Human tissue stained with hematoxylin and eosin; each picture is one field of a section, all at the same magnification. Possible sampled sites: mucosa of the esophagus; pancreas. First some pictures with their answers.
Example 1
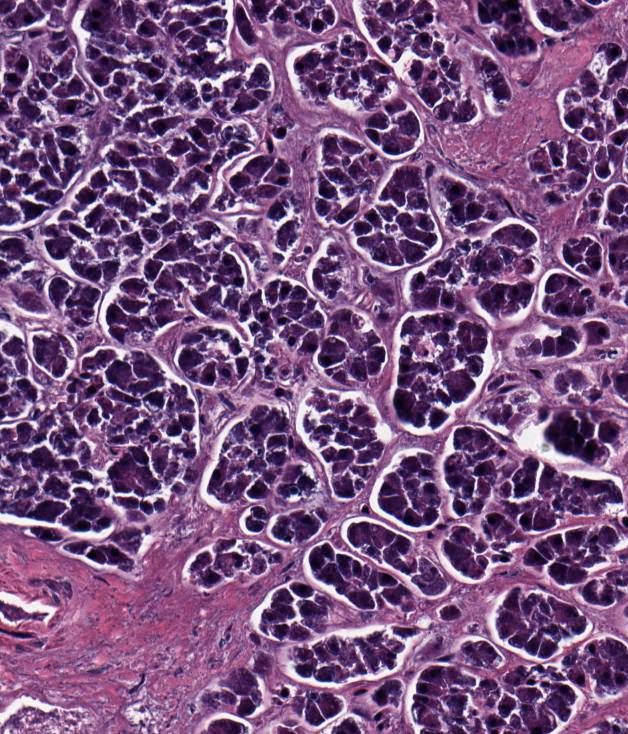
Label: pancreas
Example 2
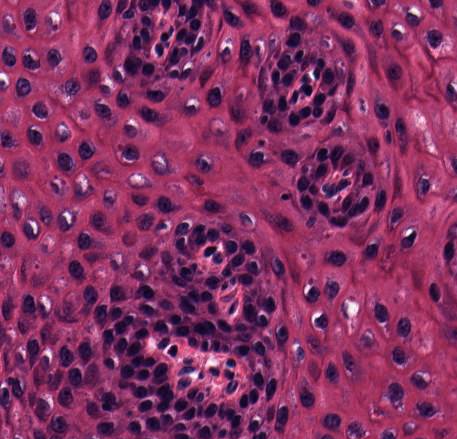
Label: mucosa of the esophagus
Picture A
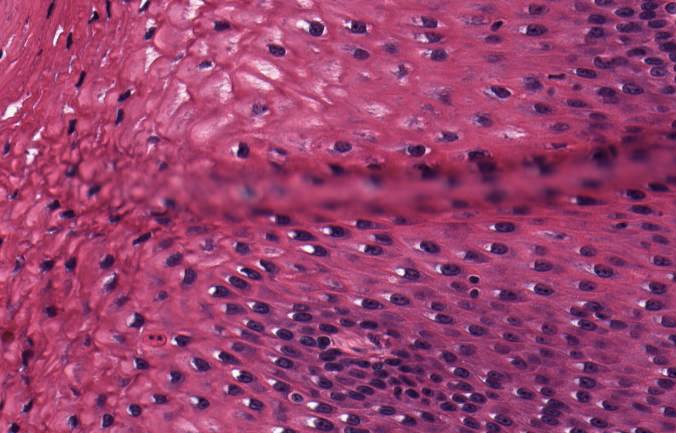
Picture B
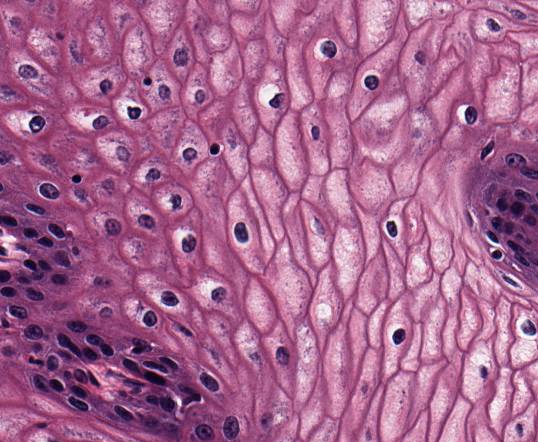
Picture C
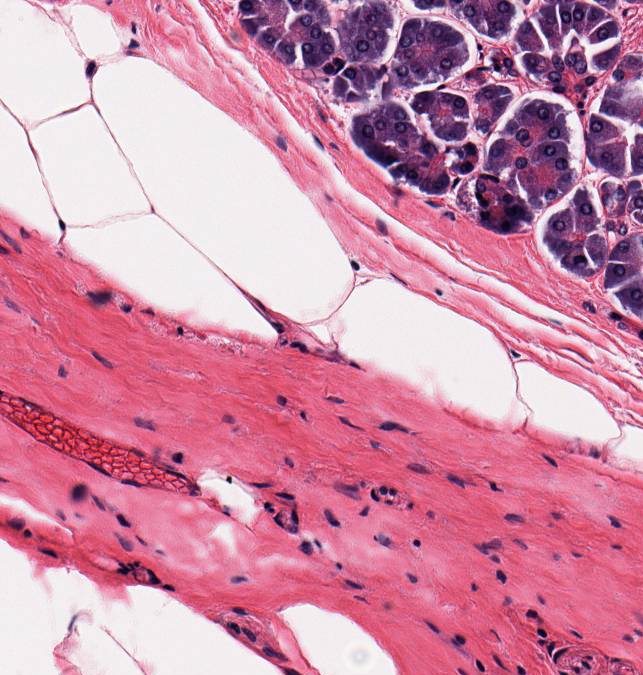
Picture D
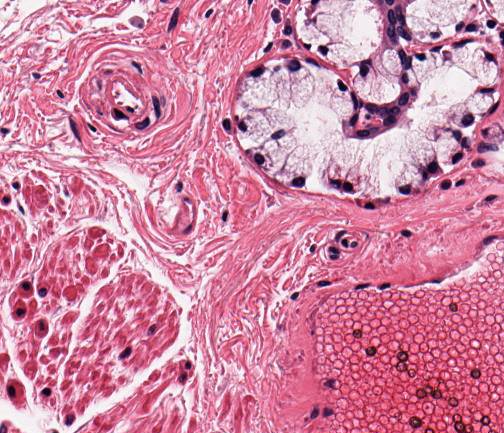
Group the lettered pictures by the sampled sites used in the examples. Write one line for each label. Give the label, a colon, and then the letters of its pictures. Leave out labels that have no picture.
mucosa of the esophagus: A, B, D
pancreas: C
